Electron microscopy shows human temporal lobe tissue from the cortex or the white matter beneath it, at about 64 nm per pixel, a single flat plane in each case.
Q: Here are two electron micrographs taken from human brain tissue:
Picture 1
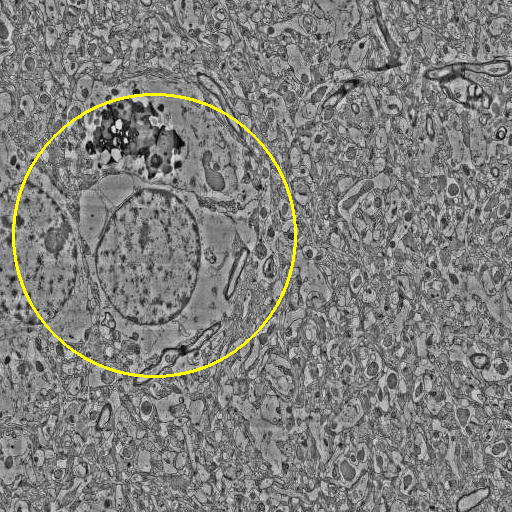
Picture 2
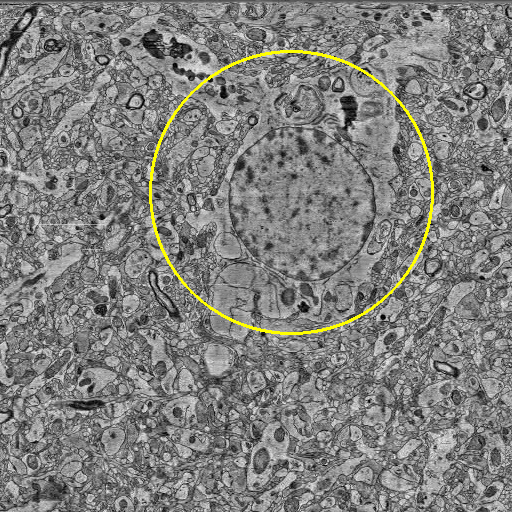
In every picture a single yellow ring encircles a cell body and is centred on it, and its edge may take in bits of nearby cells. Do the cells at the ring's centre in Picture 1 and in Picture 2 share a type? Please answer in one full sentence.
Yes, the cells at the ring's centre in Picture 1 and Picture 2 share a type.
